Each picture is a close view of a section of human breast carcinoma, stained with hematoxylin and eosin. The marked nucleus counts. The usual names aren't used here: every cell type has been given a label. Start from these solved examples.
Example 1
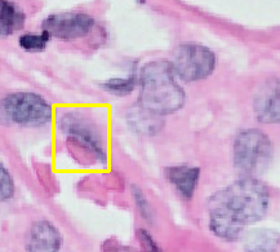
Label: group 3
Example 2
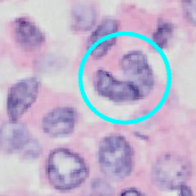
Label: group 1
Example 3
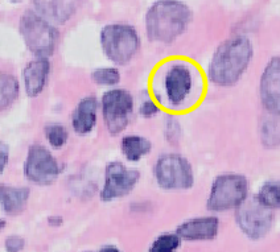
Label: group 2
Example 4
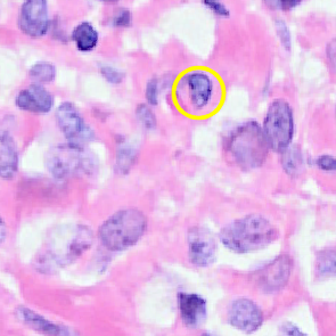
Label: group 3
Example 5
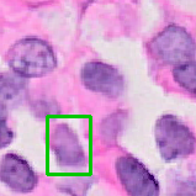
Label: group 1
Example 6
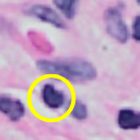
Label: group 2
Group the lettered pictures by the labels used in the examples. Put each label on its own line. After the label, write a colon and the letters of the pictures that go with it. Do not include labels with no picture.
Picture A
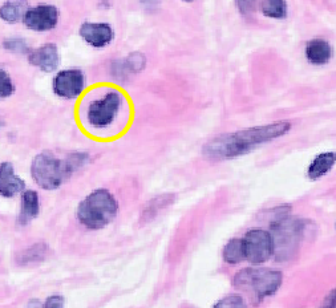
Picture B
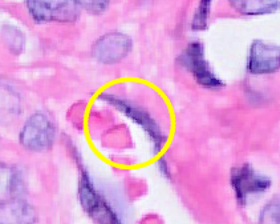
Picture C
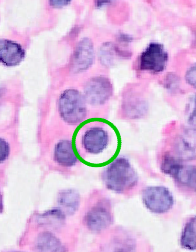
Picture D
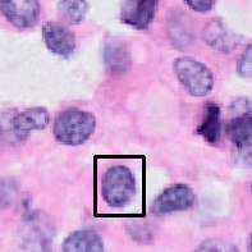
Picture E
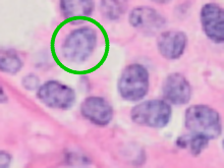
group 3: B
group 1: C, D, E
group 2: A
